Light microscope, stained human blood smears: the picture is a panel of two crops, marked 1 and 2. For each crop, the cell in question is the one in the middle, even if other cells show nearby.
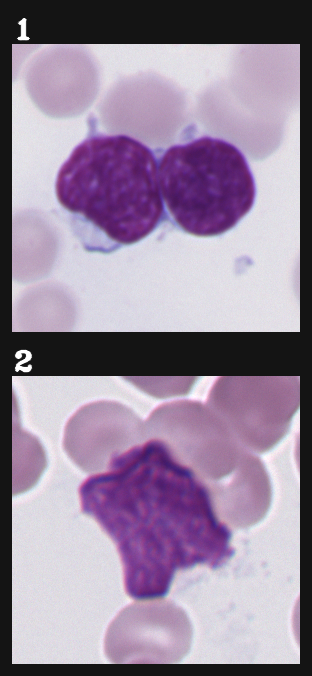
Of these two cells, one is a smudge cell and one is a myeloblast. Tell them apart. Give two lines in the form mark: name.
1: myeloblast
2: smudge cell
